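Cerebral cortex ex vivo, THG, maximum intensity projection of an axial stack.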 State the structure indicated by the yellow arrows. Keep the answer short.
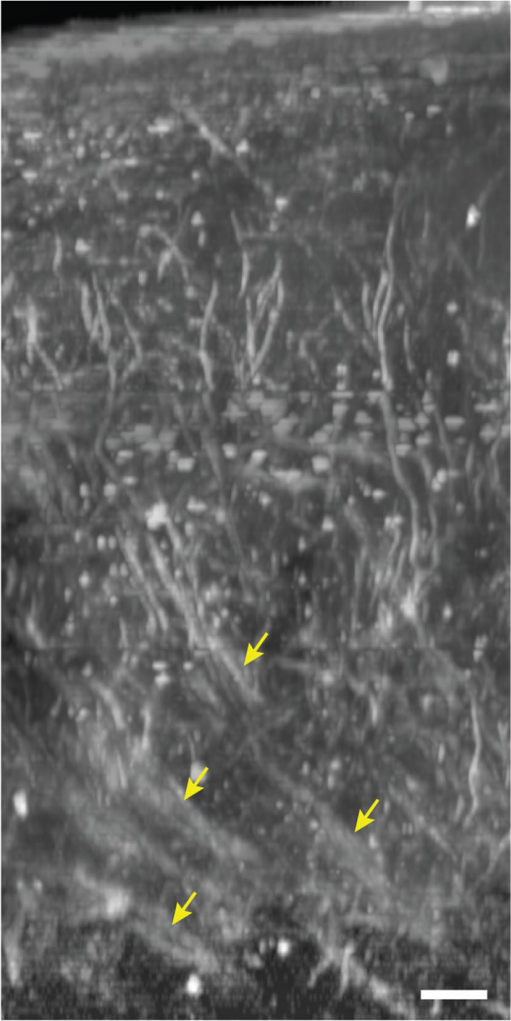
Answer: Bundles of radial fibers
